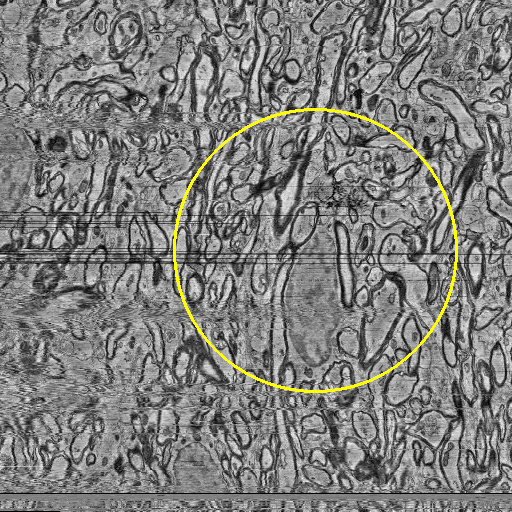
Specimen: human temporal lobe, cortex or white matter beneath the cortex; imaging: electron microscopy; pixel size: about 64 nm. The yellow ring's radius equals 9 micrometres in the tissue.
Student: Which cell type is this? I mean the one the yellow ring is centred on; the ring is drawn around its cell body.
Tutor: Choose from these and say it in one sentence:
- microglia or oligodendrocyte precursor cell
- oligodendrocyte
The cell the ring is centred on is an oligodendrocyte.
